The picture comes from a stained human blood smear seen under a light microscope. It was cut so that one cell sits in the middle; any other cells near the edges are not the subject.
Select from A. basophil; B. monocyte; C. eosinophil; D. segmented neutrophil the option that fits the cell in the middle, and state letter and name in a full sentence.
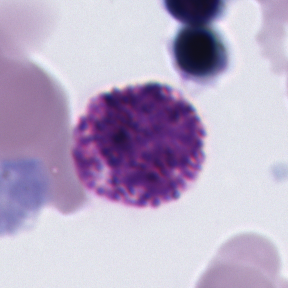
Identified correctly by option A, the cell in the middle is a basophil.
